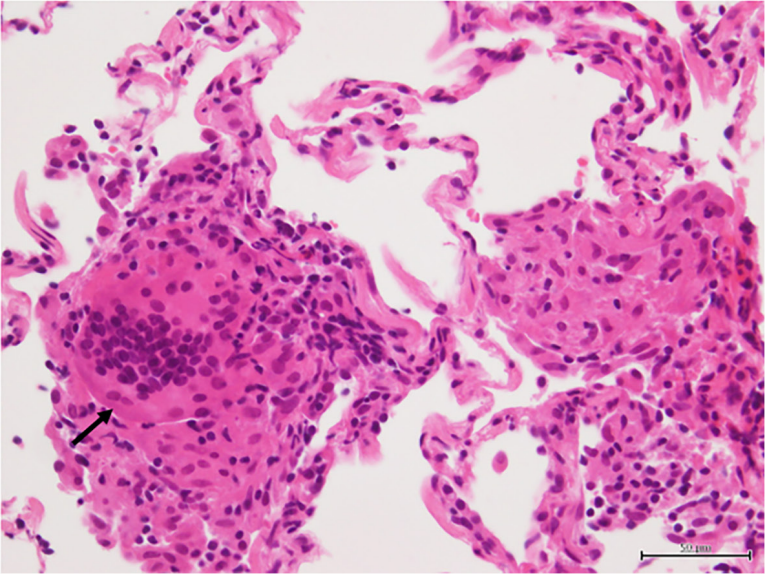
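Lung tissue with thin pink alveolar walls around open air spaces and compact non-necrotic granulomas of epithelioid cells. On the left a granuloma contains a large multinucleated giant cell with many nuclei clustered within abundant pink cytoplasm, bordered by small dark lymphocytes. A second epithelioid nodule with pale elongated nuclei lies on the right.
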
